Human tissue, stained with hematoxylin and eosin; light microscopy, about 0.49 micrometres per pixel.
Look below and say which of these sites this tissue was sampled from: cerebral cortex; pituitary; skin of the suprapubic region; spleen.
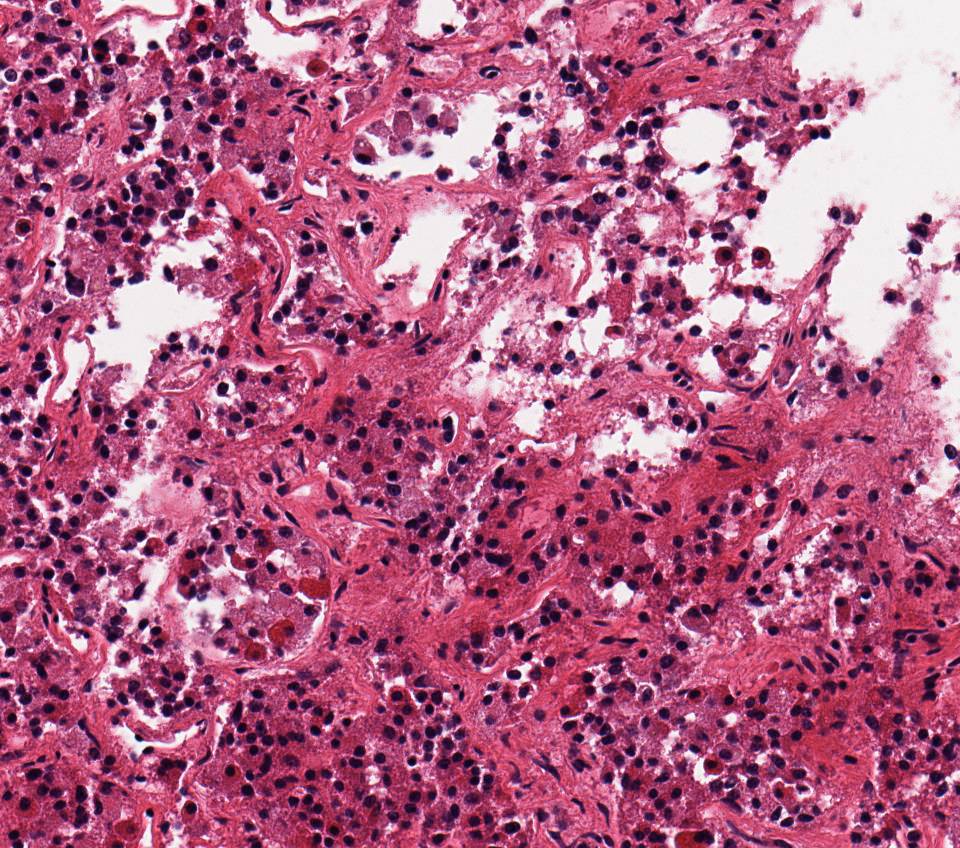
pituitary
